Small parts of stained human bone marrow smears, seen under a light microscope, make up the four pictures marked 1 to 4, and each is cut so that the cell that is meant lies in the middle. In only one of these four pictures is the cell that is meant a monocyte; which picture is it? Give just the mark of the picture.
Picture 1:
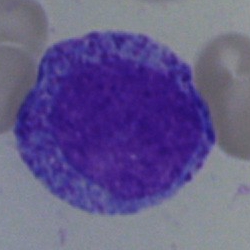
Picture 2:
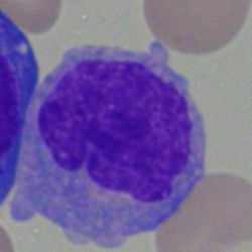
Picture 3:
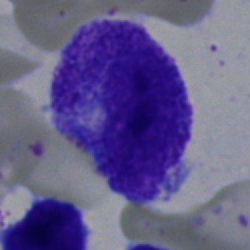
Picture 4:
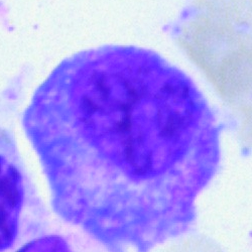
2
